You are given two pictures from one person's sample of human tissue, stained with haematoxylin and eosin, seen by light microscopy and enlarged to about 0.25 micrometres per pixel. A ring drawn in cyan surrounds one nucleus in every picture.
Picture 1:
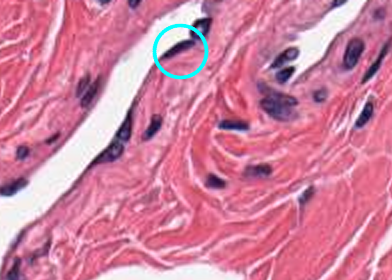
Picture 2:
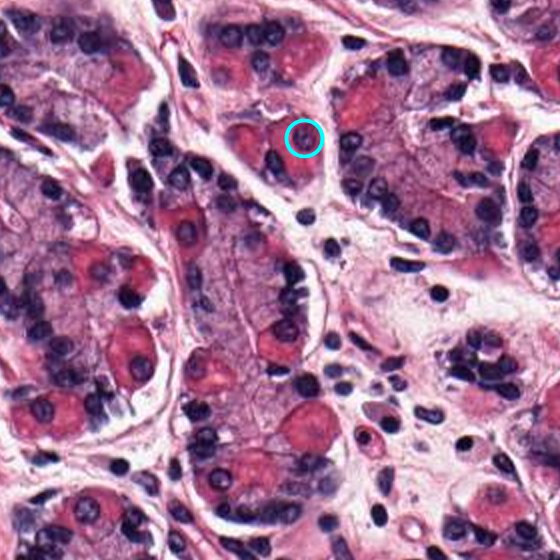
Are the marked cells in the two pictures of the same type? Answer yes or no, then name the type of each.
No, the first is an endothelial cell and the second a parietal cell.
